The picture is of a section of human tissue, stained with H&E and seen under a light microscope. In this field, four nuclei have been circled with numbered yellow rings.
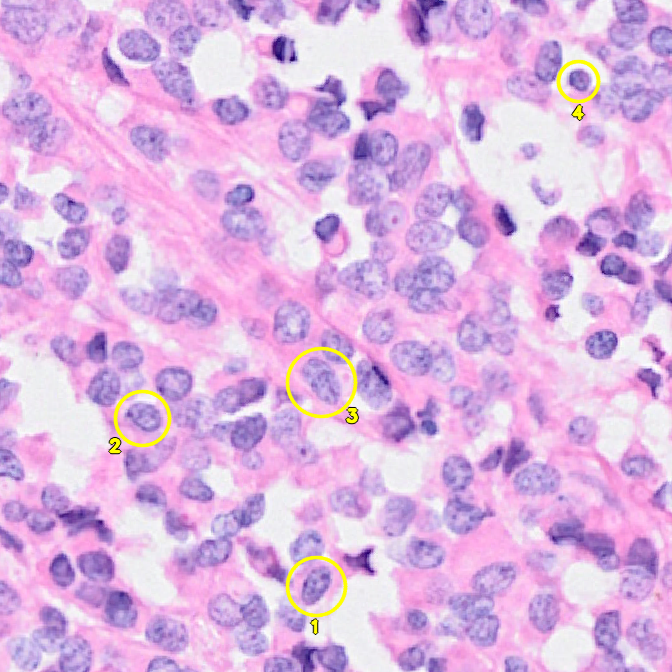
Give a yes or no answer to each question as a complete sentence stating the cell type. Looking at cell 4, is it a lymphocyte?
Yes, the cell identified by number 4 is a lymphocyte.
